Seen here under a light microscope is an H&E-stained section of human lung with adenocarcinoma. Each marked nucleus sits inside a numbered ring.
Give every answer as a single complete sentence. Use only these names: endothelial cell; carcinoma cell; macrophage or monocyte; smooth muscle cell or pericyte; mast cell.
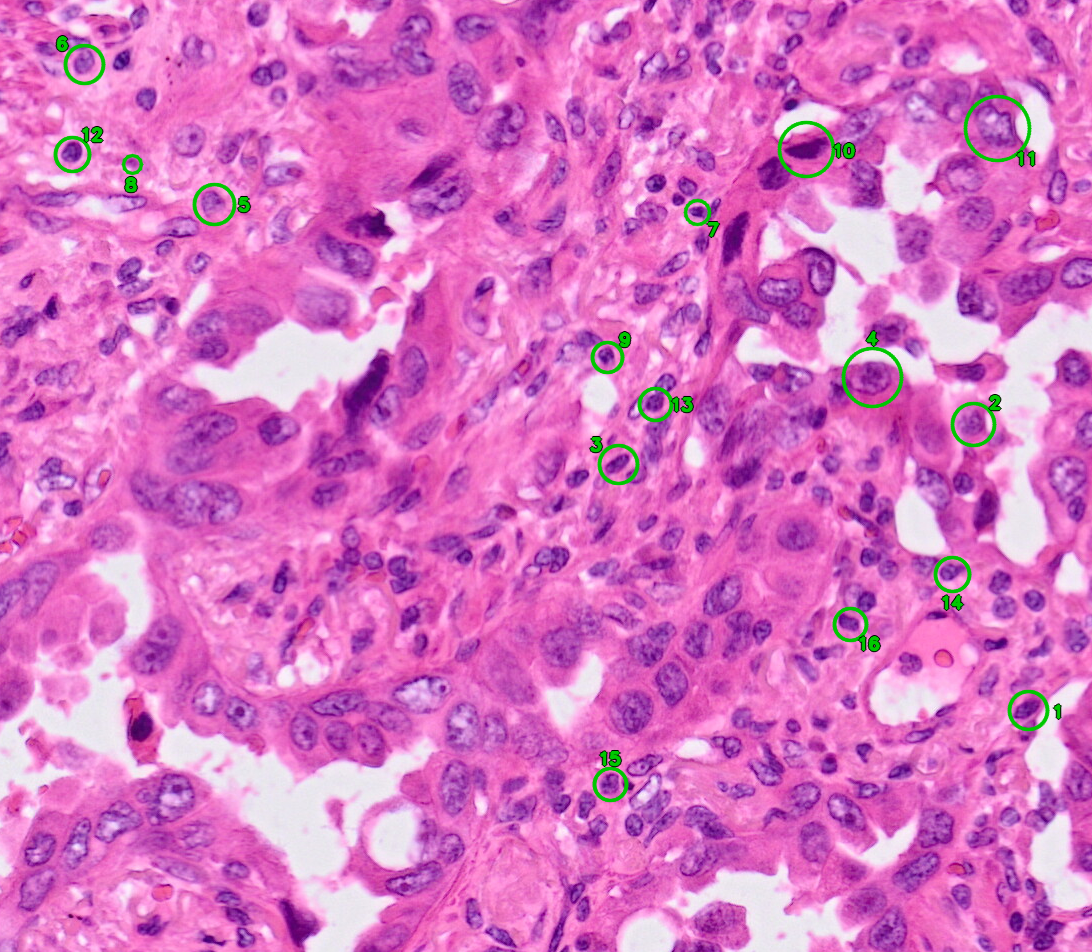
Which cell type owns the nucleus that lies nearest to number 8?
The nucleus nearest to number 8 is that of an endothelial cell.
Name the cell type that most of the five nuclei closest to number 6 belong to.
Around number 6, most of the five nearest nuclei are those of smooth muscle cells or pericytes.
